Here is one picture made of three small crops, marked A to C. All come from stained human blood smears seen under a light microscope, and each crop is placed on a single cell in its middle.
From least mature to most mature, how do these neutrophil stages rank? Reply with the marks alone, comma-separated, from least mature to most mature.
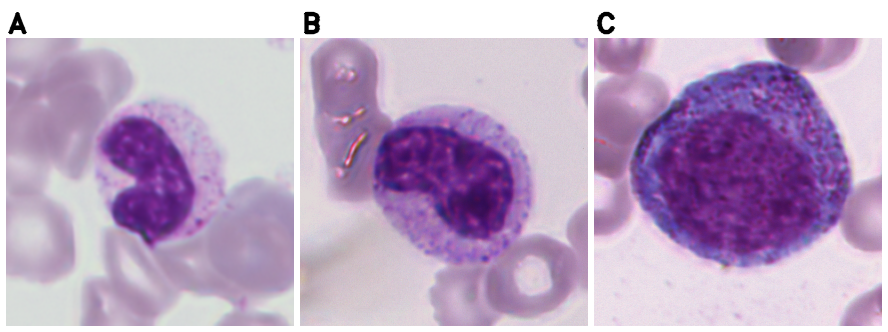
C, B, A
